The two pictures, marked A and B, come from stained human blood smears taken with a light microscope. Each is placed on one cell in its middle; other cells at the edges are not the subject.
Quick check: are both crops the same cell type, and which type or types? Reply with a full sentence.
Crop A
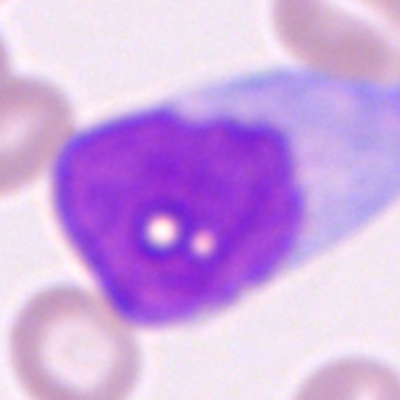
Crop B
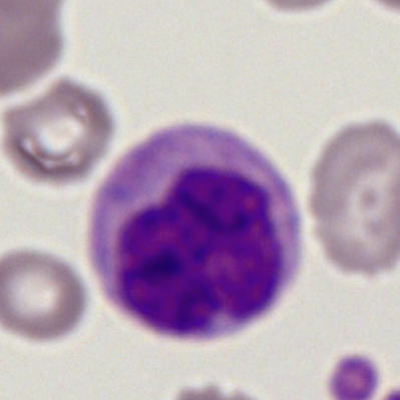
Yes, the first and the second crop both show monocytes.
